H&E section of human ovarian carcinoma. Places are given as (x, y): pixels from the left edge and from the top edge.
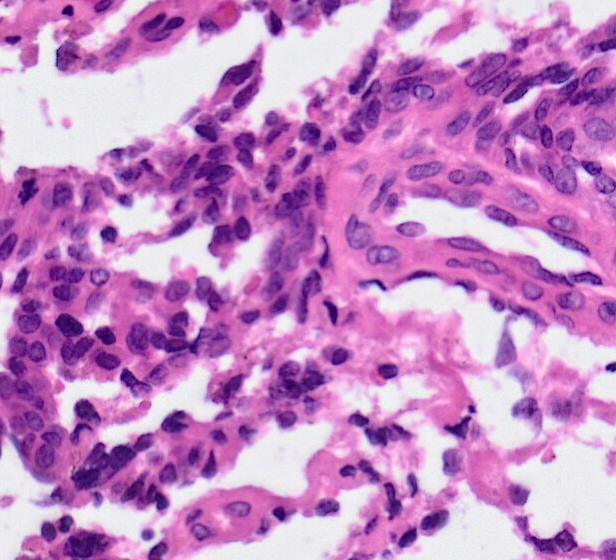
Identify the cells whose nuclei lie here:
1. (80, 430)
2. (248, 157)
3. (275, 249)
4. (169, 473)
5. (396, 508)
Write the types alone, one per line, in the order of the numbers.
macrophage or monocyte
carcinoma cell
carcinoma cell
carcinoma cell
fibroblast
